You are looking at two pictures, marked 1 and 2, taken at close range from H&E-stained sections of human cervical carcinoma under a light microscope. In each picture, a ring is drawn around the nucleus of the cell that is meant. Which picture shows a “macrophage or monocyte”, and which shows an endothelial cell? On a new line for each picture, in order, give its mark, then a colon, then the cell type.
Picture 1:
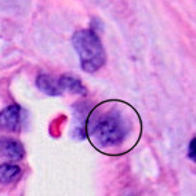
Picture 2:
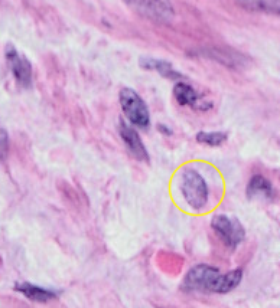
1: endothelial cell
2: macrophage or monocyte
